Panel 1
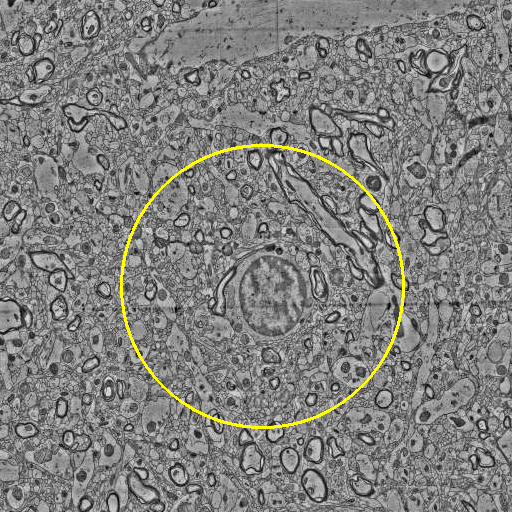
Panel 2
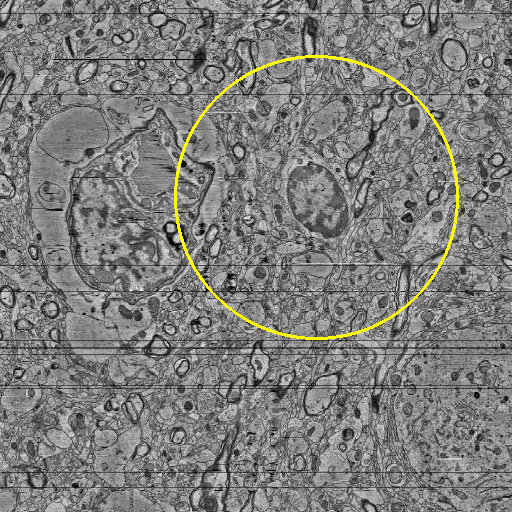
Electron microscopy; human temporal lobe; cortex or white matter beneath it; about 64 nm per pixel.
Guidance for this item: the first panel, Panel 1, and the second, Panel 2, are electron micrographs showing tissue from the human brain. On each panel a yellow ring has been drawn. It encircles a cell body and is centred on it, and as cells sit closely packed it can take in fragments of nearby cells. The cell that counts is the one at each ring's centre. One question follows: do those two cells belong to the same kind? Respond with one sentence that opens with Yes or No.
No, the cells at the ring centres in Panel 1 and Panel 2 are of two kinds.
